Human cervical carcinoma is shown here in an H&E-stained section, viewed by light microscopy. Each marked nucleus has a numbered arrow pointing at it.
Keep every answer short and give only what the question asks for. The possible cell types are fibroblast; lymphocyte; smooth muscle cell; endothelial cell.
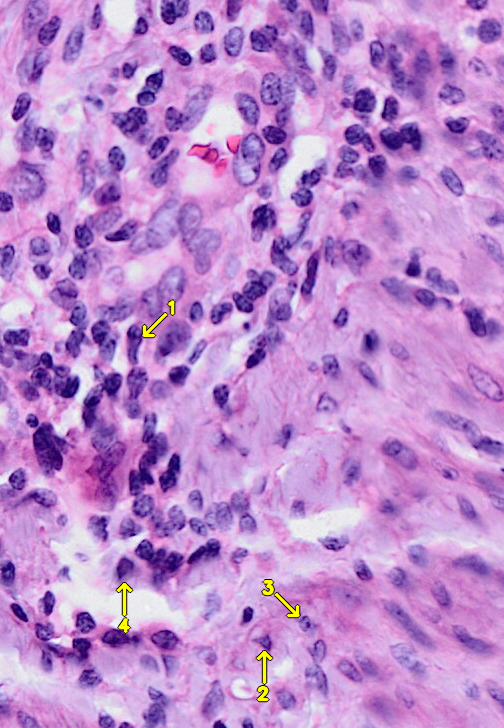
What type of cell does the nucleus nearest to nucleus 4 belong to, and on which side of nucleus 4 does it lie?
a lymphocyte; above and to the right of nucleus 4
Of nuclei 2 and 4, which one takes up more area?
4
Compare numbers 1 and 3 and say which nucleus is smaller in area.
3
